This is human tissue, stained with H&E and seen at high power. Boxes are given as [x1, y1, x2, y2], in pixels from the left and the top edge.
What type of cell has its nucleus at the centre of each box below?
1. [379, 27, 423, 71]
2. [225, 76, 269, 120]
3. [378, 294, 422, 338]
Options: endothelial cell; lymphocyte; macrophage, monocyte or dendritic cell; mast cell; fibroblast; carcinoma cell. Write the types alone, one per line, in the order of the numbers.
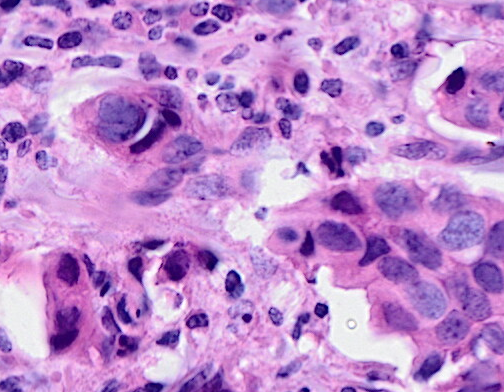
lymphocyte
lymphocyte
carcinoma cell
